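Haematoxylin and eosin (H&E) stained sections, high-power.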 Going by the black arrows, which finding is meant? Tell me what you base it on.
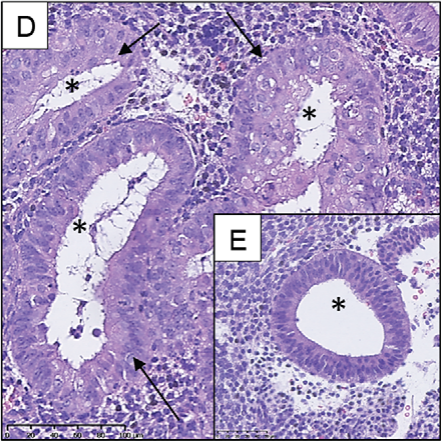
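The gland cells have enlarged, rounded, pale nuclei with visible nucleoli. Nuclei are disorderly, without the regular alignment of the inset gland. Cells have abundant pink cytoplasm. The answer: cytological atypia.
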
